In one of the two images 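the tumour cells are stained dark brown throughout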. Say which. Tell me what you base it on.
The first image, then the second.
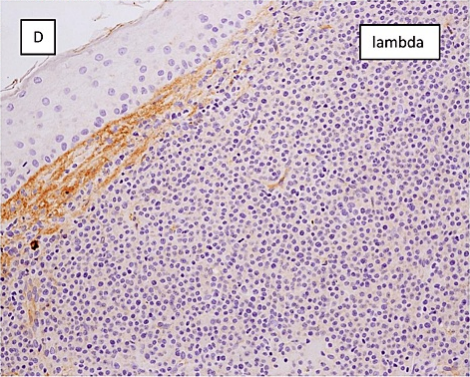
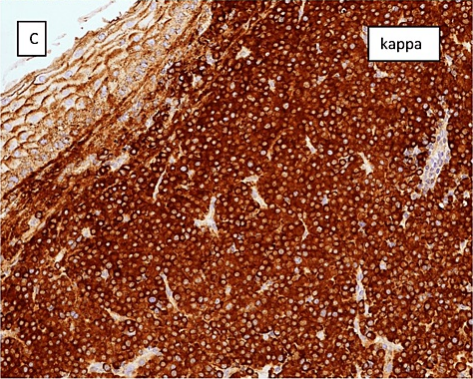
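First image: the sheet of tumour cells shows only blue nuclei, with no brown in the cells. Second image: the sheet of tumour cells is densely and evenly brown. So: the second image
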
